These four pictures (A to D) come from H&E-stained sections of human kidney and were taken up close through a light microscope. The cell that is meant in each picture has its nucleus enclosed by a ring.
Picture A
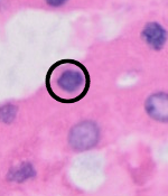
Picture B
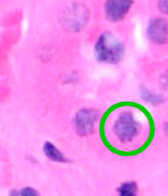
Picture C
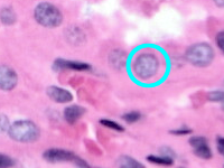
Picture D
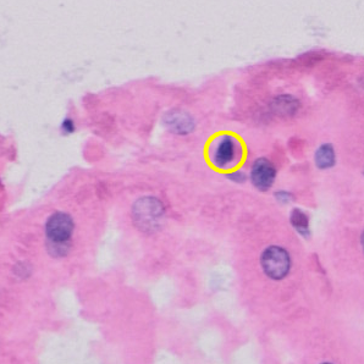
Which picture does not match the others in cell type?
D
